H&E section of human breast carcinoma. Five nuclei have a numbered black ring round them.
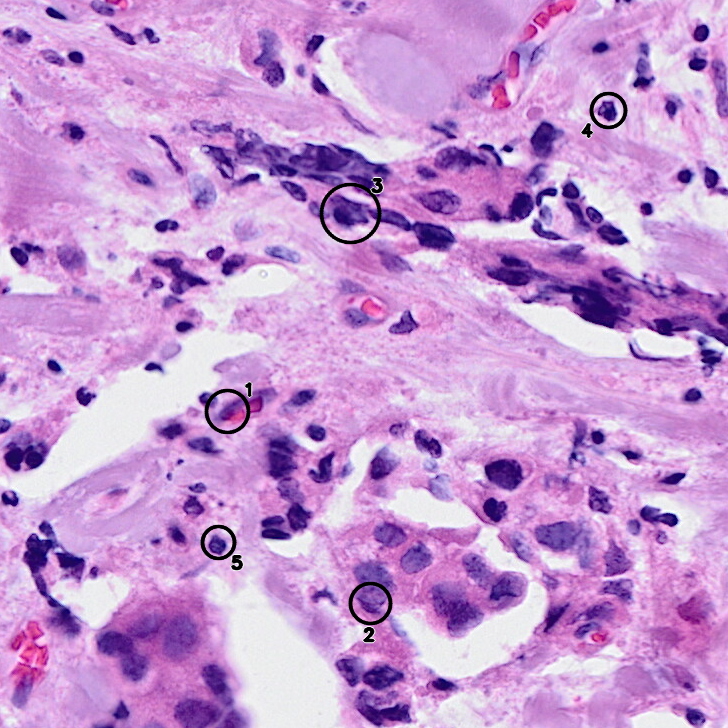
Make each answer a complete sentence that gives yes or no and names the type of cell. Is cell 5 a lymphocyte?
Yes, in this section the cell numbered 5 is a lymphocyte.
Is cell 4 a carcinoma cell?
No, the right label for cell 4 is a lymphocyte rather than a carcinoma cell.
